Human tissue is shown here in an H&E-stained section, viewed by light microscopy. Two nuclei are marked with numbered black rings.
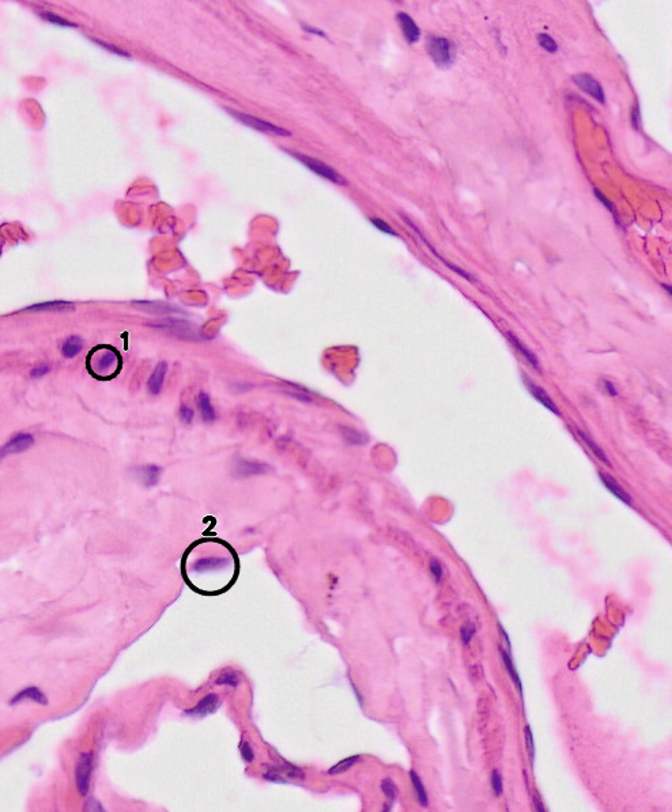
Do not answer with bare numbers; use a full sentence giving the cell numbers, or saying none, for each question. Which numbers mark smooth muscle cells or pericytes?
Only the cell marked 1 is a smooth muscle cell or pericyte.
